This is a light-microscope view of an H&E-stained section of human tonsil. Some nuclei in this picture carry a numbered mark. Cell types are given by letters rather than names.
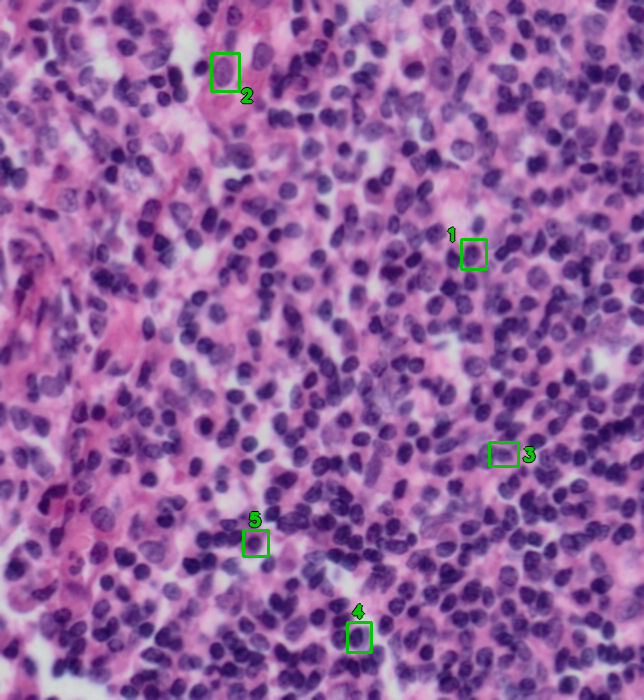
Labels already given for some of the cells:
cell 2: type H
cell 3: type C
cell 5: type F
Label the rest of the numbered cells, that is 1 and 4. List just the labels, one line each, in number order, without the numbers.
type C
type C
